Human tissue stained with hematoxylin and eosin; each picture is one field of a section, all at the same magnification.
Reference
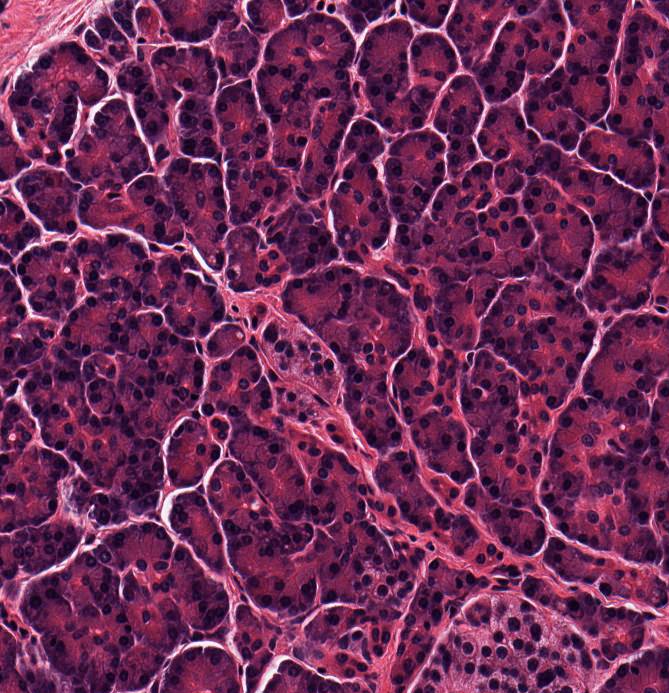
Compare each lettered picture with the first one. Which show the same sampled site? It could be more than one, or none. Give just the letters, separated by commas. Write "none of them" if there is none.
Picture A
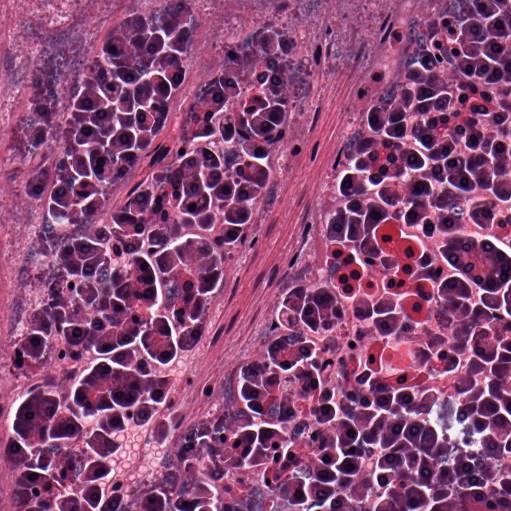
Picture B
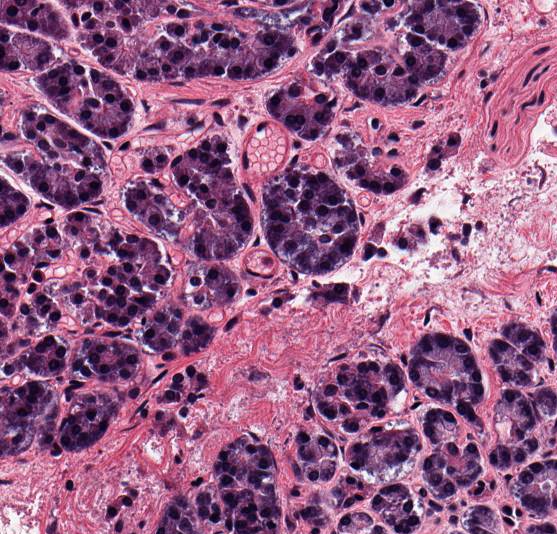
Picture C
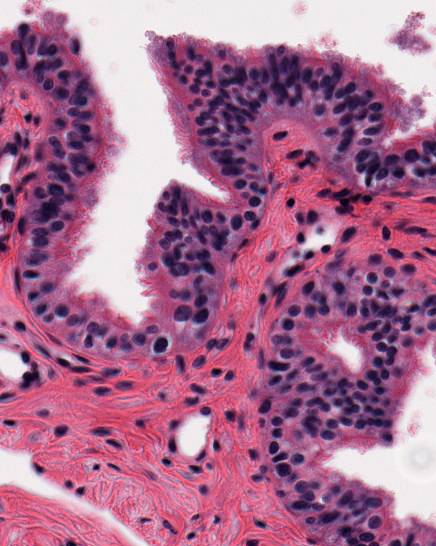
A, B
